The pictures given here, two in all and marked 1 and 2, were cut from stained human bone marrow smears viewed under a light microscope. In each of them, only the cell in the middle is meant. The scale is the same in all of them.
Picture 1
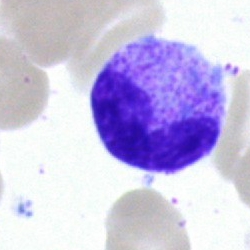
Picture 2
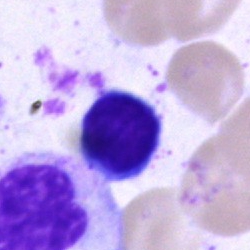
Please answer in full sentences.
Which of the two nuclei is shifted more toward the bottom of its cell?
The nucleus in picture 1 lies further toward the bottom of its cell.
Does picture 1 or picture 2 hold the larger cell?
Larger is the cell in picture 1, at roughly 2.5 times the area of the other.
